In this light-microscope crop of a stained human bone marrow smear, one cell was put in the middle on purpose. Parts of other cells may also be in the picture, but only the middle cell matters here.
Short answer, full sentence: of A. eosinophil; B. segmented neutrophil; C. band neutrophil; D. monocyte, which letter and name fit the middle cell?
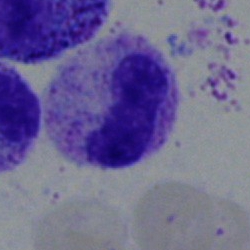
That middle cell is a band neutrophil, and option C is therefore correct.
